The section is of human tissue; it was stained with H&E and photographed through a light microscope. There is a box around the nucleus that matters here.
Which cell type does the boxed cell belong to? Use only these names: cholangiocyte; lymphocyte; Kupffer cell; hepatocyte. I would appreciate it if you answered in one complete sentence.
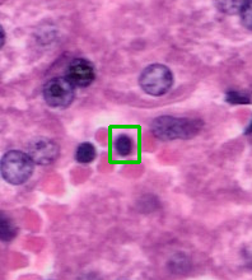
As a matter of cell type, the boxed cell is a lymphocyte.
